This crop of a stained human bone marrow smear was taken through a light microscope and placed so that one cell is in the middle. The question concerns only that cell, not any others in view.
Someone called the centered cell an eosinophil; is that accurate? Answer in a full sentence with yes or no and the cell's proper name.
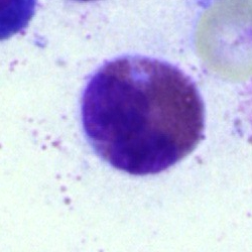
Yes, what sits in the centre of the crop is an eosinophil.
